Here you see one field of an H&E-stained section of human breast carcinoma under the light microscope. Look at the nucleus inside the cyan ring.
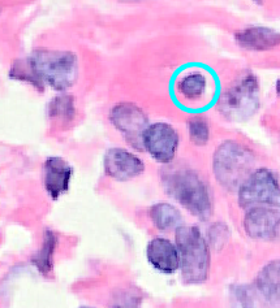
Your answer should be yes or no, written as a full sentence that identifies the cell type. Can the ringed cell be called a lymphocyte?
Yes, the ringed cell is a lymphocyte in this section.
